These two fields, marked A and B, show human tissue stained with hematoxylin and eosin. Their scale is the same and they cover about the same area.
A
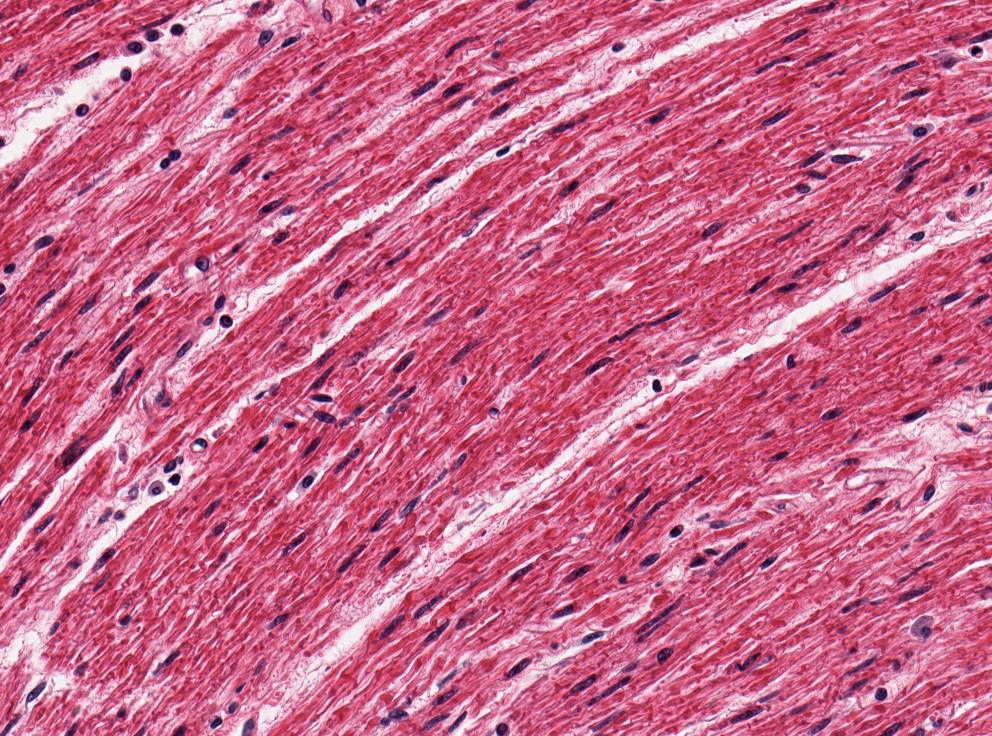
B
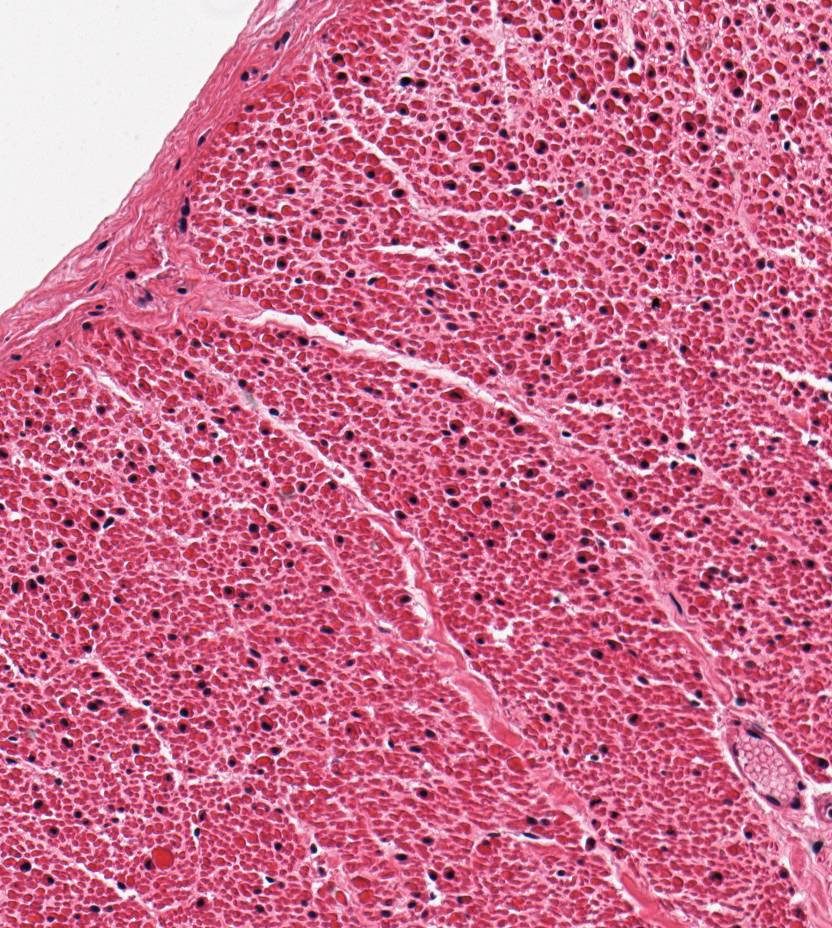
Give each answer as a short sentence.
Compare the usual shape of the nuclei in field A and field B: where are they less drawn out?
It is field B whose nuclei are the rounder.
